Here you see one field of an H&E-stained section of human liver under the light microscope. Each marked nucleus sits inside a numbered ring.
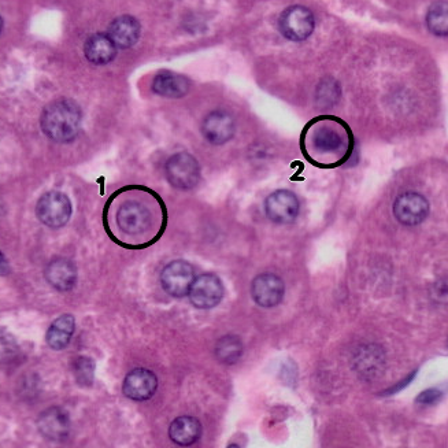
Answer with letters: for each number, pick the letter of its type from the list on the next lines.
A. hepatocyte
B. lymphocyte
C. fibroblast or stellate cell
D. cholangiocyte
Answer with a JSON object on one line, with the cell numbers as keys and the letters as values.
{"1": "A", "2": "C"}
